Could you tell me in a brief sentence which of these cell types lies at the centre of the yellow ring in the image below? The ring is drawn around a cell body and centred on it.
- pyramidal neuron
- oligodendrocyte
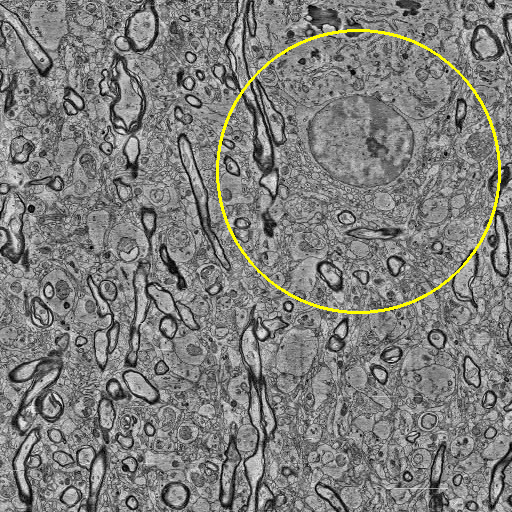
The cell centred in the ring is an oligodendrocyte.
